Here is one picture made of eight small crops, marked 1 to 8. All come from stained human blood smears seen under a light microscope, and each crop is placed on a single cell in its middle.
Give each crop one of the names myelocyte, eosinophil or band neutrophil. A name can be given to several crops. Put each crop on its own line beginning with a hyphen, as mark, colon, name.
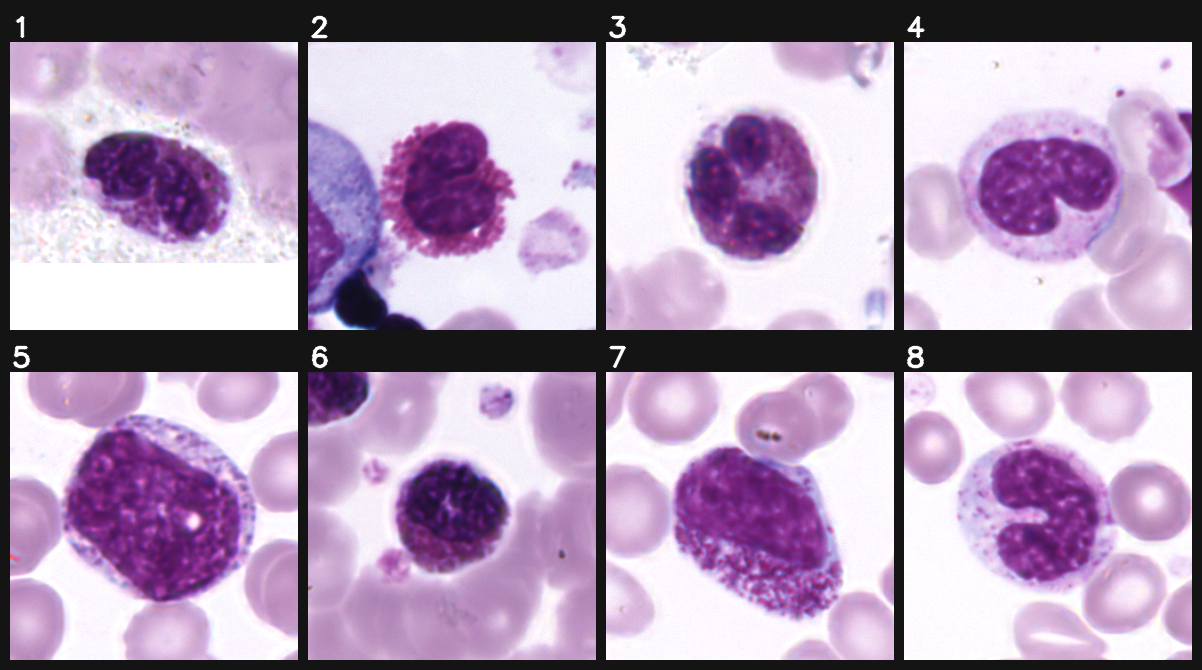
- 1: eosinophil
- 2: eosinophil
- 3: eosinophil
- 4: band neutrophil
- 5: myelocyte
- 6: eosinophil
- 7: myelocyte
- 8: band neutrophil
